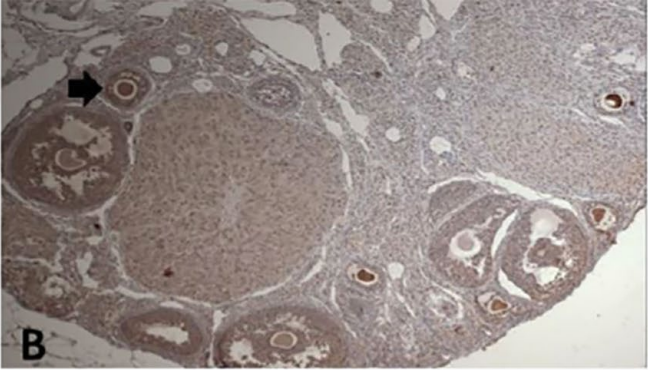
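This ovarian section shows follicles at several sizes lying in a loose stroma with many open vessels. Small follicles, such as the one near the upper left, show a round central body stained brown within a ring of flattened to cuboidal cells. Larger follicles have thick multilayered walls of small cells and irregular fluid-filled cavities, in which a round central body with a pale rim can be seen. A large solid rounded mass of pale, evenly packed cells dominates the centre.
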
